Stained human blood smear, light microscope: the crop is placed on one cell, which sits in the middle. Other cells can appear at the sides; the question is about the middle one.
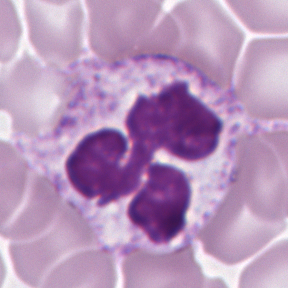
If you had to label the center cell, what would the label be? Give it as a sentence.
The single cell at the center of the crop is a segmented neutrophil.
